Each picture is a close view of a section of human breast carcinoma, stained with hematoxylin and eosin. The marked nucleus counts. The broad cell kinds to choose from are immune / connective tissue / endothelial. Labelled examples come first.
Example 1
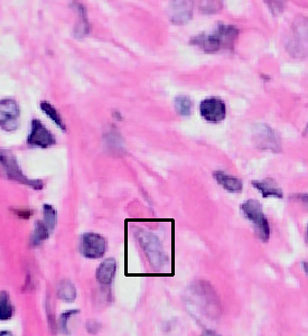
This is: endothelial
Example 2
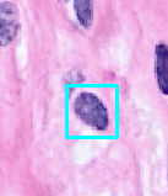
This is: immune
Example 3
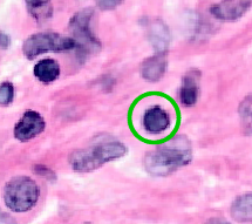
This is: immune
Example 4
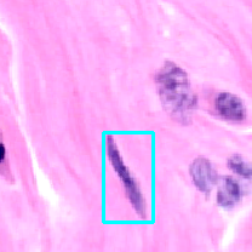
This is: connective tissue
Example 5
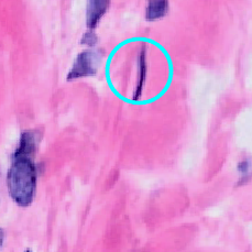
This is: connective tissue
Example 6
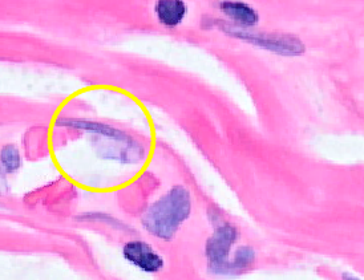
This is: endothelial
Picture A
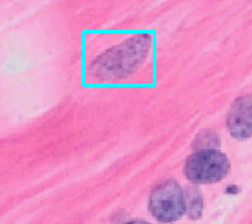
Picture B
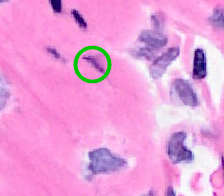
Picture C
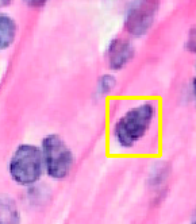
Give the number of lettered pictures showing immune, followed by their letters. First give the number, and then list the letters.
Count: 1 (C)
